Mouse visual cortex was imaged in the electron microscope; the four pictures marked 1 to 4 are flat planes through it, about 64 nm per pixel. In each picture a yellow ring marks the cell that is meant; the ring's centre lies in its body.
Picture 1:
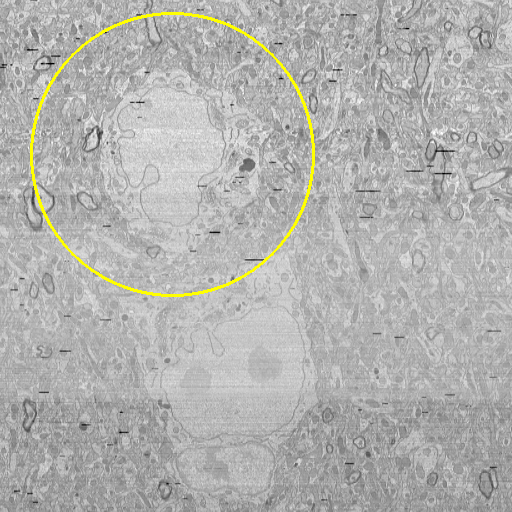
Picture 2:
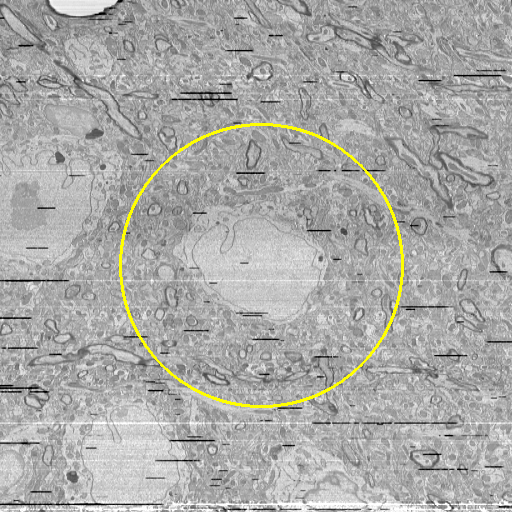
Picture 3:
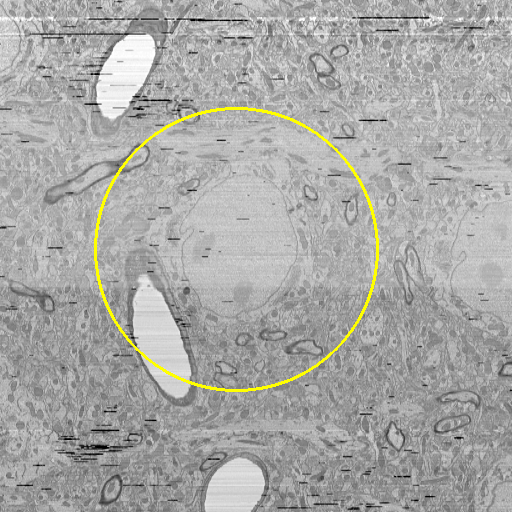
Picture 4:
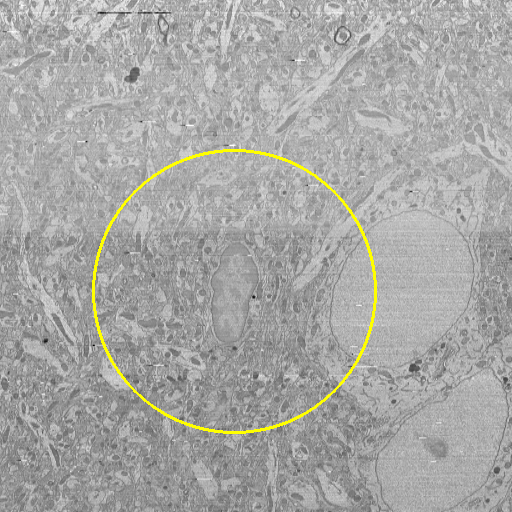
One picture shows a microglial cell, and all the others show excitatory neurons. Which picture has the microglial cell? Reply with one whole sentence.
The picture with the microglial cell is 4.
